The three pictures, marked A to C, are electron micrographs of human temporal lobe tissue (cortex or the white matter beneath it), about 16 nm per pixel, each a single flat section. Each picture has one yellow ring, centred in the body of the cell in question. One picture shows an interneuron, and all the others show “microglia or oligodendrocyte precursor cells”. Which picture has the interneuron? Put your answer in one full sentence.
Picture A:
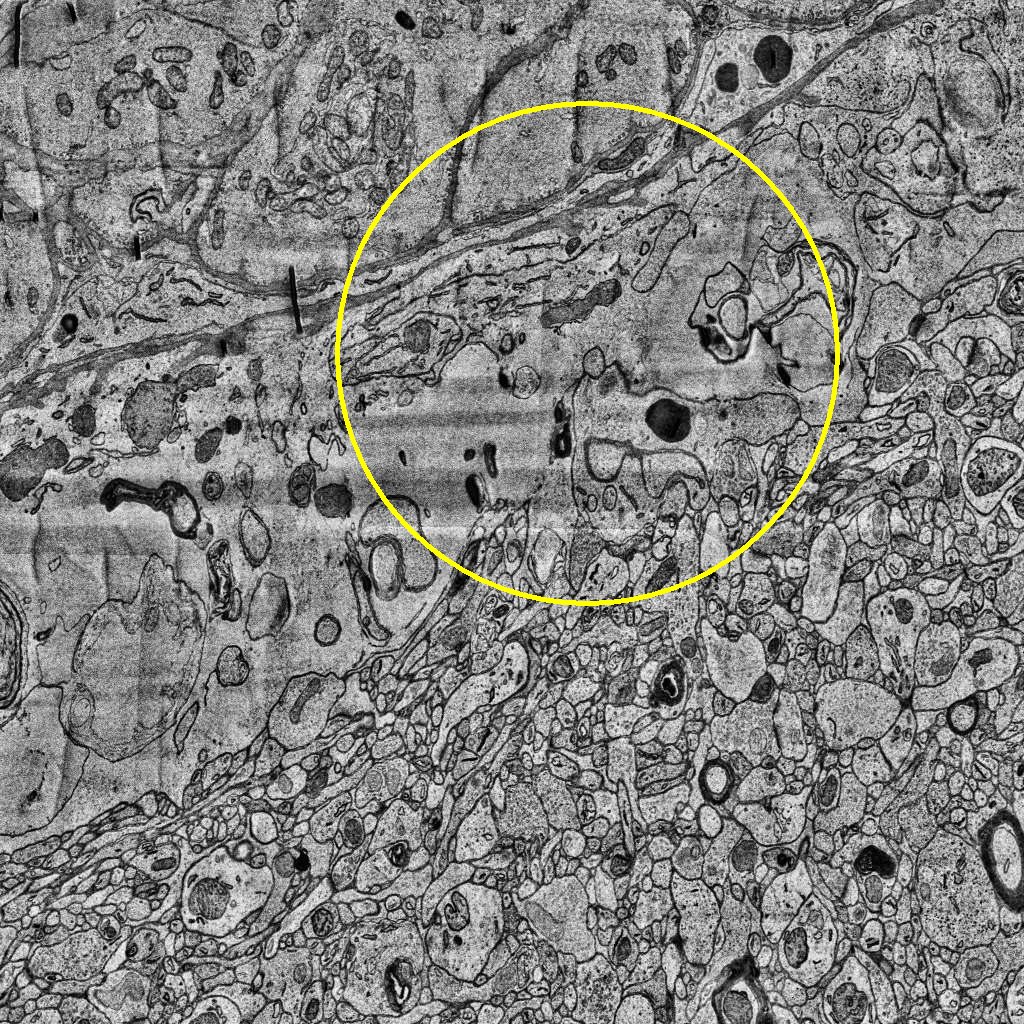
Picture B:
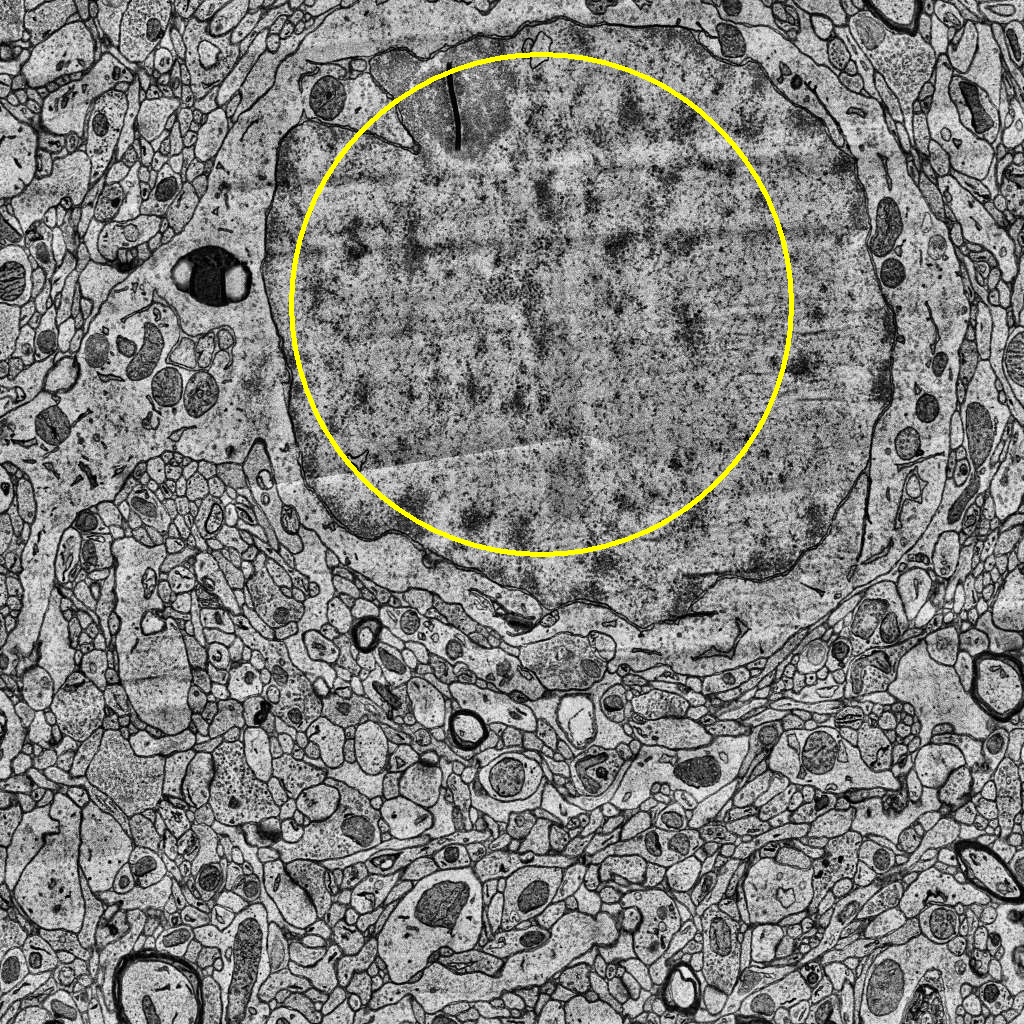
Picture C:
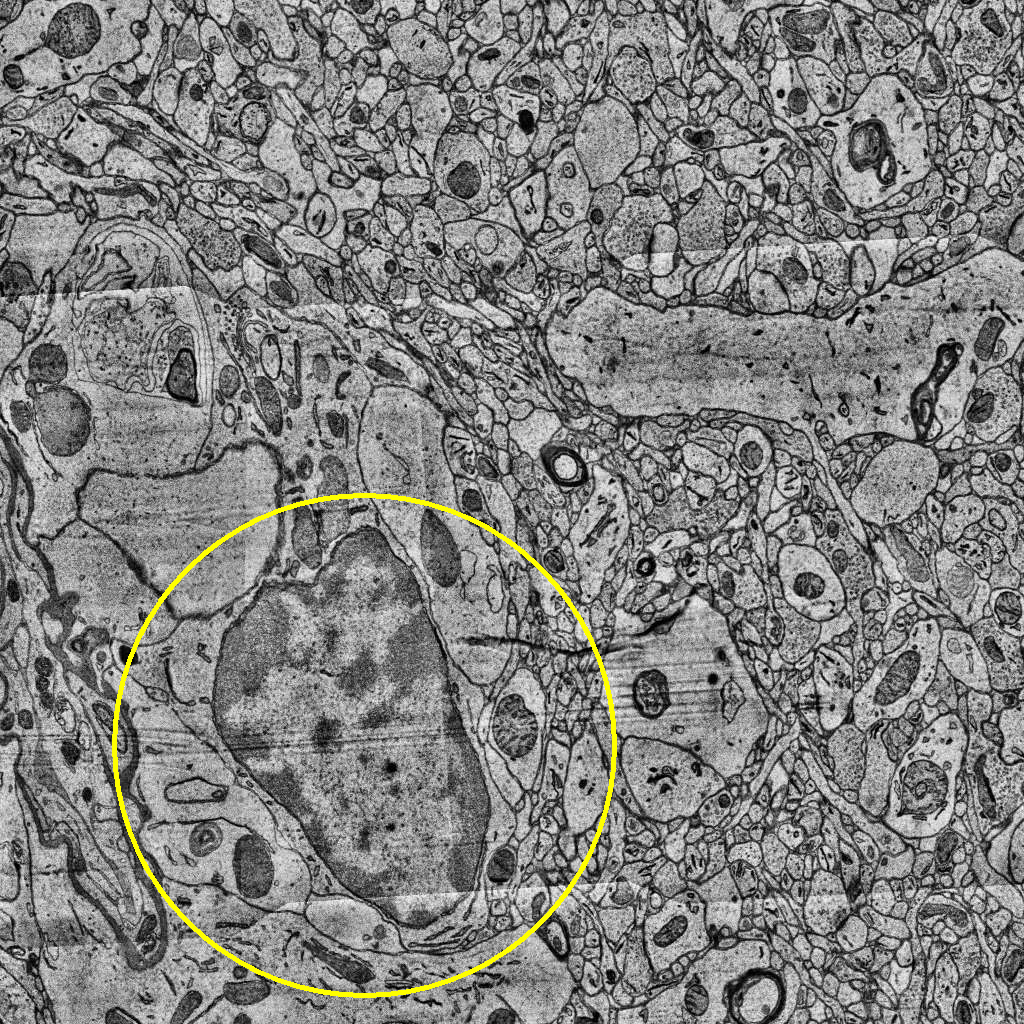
The cell in picture B is the interneuron.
